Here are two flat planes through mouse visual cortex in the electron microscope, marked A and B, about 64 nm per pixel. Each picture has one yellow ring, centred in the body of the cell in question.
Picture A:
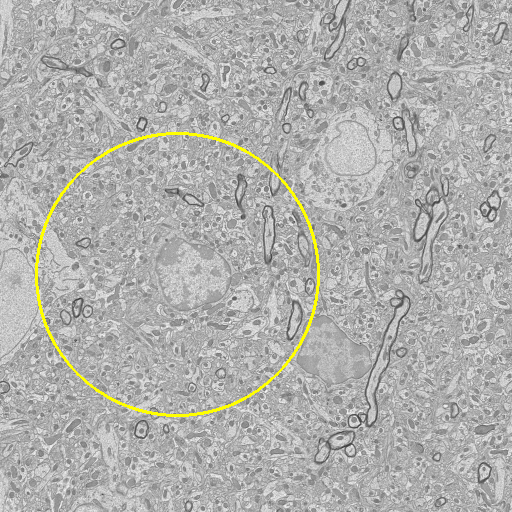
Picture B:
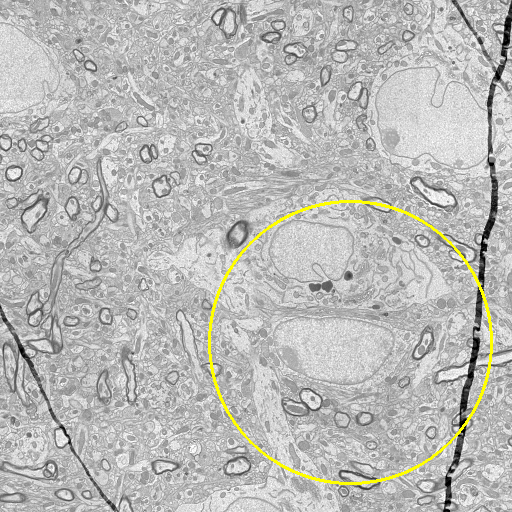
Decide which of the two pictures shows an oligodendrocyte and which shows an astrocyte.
Picture A shows an oligodendrocyte and picture B shows an astrocyte.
